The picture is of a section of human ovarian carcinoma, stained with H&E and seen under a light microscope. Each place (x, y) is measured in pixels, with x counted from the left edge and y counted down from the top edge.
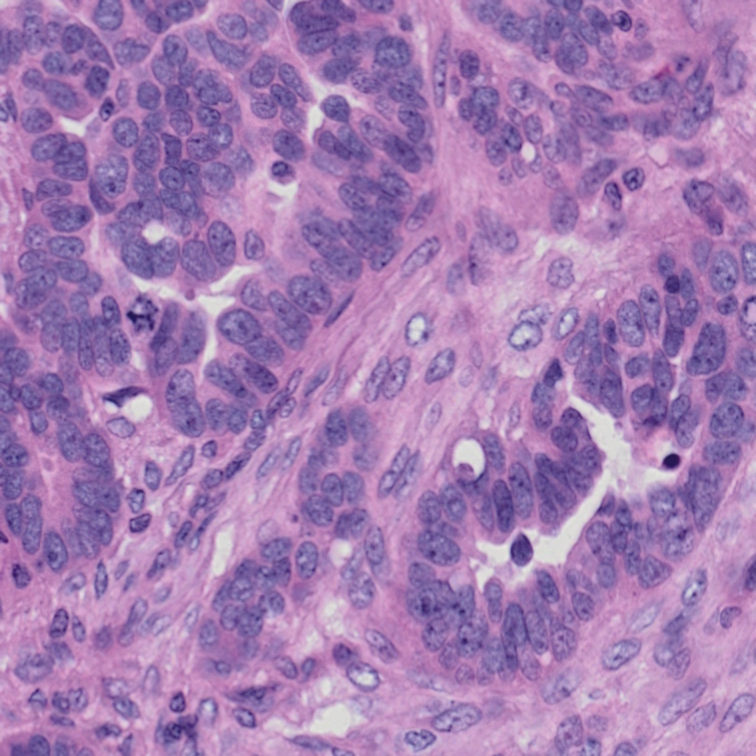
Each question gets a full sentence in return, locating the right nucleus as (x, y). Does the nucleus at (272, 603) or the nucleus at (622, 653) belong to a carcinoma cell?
In this pair, the nucleus at (272, 603) belongs to a carcinoma cell.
